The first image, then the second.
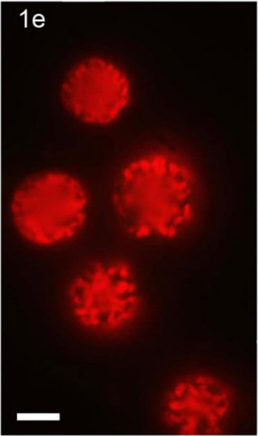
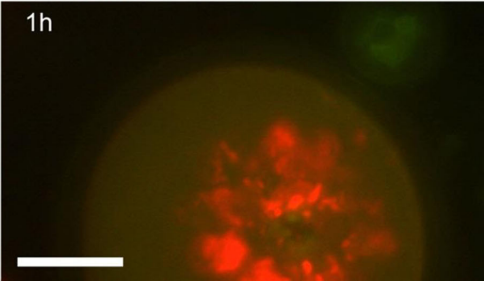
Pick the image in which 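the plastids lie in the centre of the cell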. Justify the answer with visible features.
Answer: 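Second image: red fluorescent patches are clustered in the middle of the cell, with a dim rim around them. First image: red fluorescent patches are spread toward the edges of each cell. So: the second image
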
